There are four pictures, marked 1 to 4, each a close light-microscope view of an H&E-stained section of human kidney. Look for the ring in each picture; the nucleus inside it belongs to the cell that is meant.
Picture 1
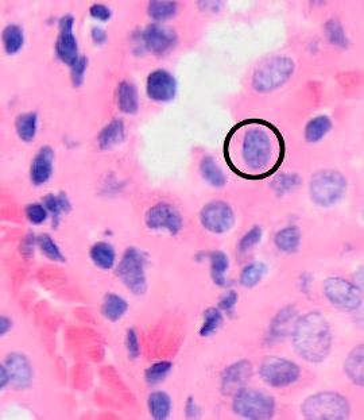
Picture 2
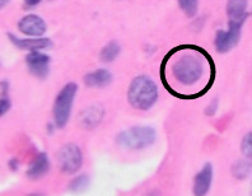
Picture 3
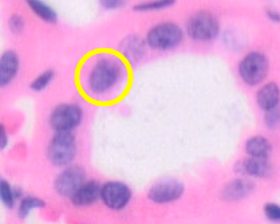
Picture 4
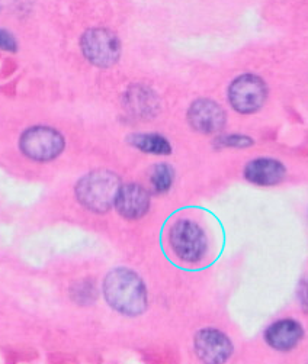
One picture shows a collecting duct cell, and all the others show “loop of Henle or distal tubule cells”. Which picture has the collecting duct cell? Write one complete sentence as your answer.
The picture with the collecting duct cell is 3.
